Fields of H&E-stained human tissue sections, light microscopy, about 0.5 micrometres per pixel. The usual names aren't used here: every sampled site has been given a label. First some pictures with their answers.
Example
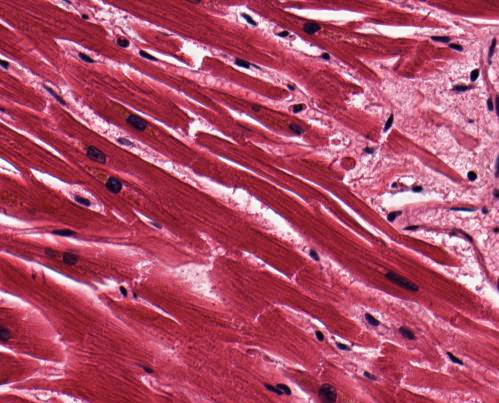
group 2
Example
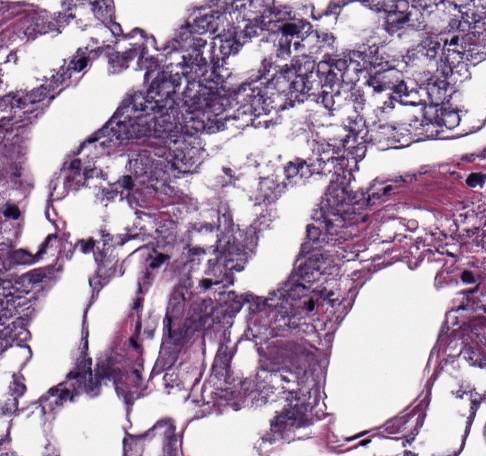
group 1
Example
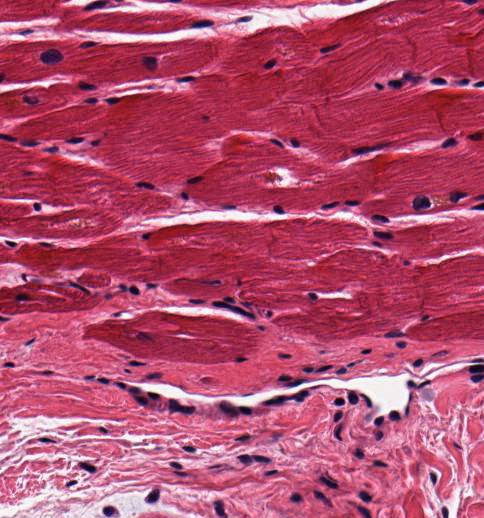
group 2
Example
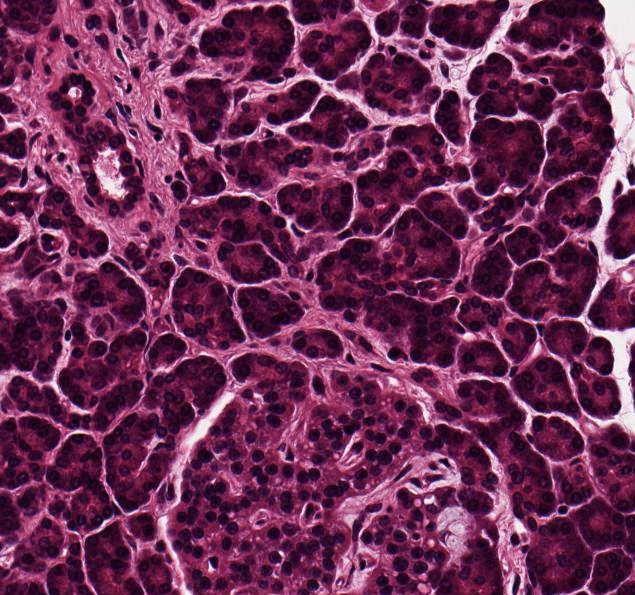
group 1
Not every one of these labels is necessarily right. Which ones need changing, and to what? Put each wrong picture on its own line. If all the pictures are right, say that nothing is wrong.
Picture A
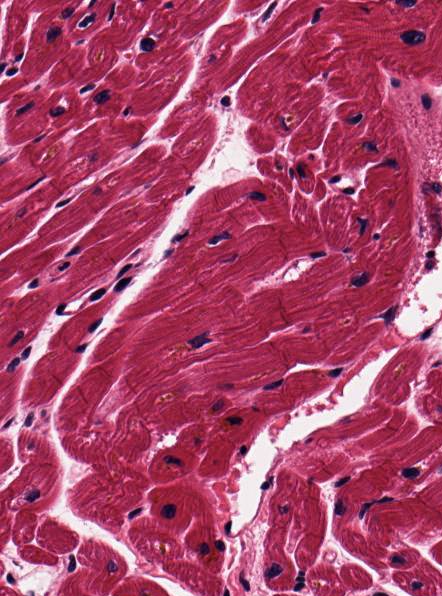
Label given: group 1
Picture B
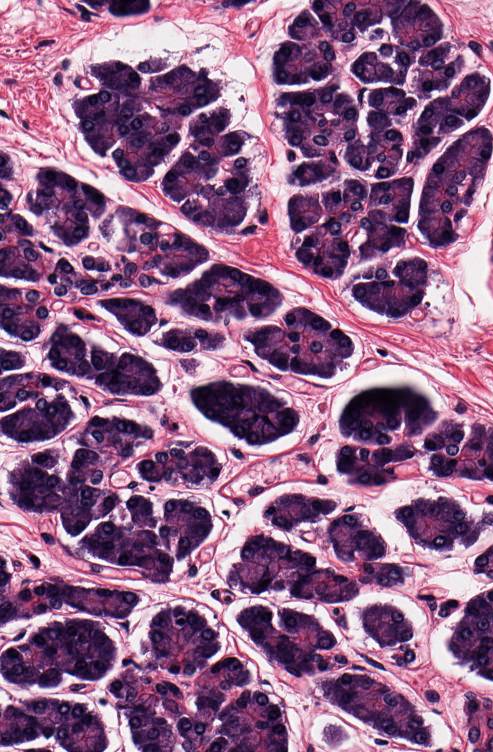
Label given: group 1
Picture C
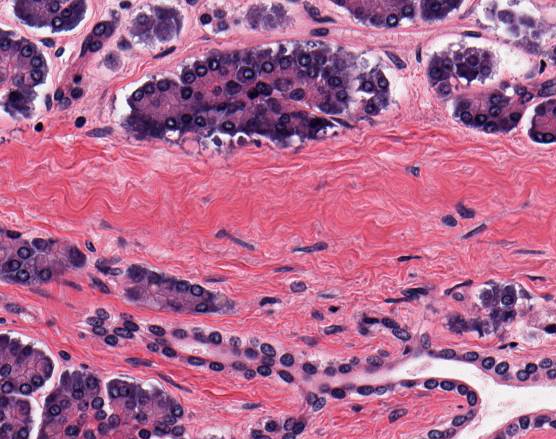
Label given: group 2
A should be group 2, not group 1
C should be group 1, not group 2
